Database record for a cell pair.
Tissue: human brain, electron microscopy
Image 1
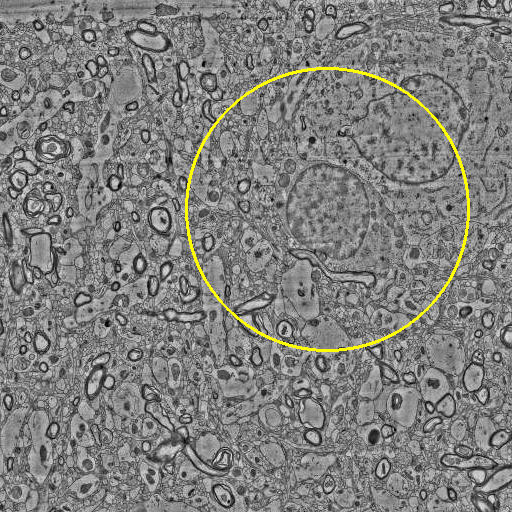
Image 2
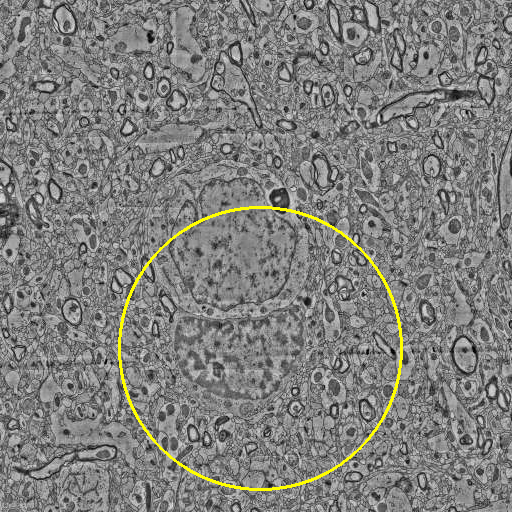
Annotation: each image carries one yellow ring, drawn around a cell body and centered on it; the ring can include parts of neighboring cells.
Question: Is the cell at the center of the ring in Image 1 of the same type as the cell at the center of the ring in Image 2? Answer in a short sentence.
Yes, the cells are of the same type.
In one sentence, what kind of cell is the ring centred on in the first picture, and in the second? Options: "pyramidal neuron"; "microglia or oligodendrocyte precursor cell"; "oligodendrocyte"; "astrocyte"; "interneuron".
Each of the two pictures has an oligodendrocyte at the ring centre.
